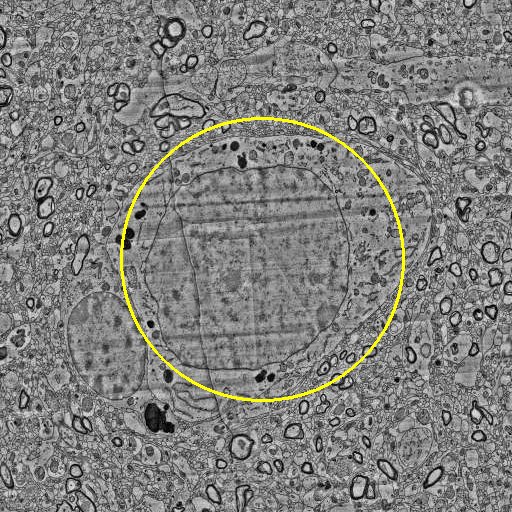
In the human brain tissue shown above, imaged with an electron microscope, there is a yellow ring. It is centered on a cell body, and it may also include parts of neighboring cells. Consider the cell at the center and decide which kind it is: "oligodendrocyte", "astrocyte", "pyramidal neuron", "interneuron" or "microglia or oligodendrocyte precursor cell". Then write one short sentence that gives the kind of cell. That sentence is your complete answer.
This centered cell body is that of a pyramidal neuron.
